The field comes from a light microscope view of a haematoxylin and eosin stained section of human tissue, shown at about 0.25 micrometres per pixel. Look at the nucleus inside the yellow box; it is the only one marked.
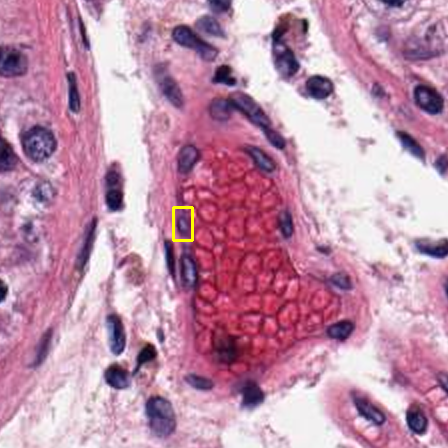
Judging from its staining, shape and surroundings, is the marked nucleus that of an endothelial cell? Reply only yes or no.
yes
